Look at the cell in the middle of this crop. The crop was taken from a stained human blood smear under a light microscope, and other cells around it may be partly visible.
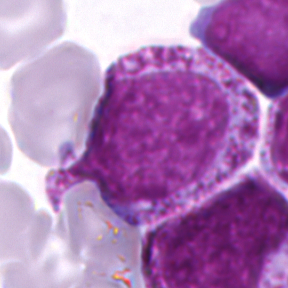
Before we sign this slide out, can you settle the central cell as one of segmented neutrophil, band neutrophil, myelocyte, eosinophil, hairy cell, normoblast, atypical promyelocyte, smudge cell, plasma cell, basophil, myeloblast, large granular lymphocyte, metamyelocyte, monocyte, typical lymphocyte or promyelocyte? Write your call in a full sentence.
The cell marked by its central position in the crop is a myelocyte.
